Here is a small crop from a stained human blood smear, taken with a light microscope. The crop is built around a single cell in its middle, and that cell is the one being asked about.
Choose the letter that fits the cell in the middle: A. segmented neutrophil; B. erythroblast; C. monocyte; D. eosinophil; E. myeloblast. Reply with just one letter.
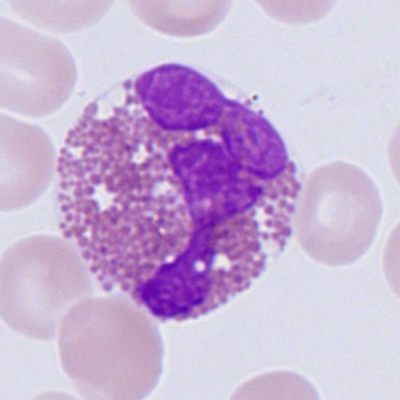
D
